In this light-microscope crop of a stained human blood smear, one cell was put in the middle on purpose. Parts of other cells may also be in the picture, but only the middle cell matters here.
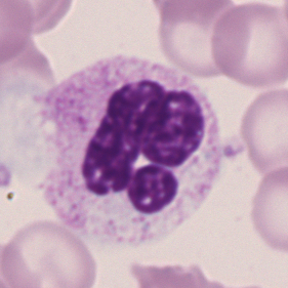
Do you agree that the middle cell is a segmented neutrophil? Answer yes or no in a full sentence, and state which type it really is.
Yes, the cell that is in the middle is a segmented neutrophil.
